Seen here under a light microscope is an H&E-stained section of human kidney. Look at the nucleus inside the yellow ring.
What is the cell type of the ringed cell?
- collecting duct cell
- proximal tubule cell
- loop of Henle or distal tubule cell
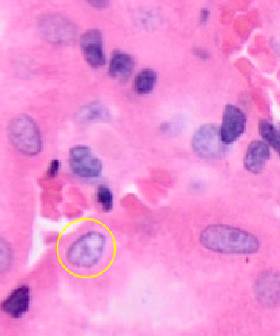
proximal tubule cell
